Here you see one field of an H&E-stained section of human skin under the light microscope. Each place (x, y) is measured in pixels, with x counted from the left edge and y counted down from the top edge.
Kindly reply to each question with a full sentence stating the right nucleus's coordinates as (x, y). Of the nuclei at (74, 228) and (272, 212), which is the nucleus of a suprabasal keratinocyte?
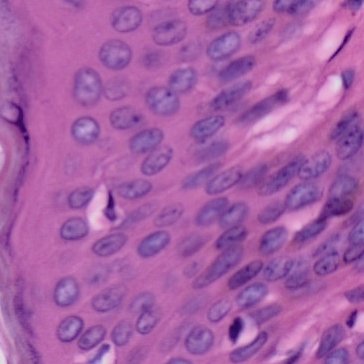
The nucleus situated at (74, 228) is the one belonging to a suprabasal keratinocyte.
